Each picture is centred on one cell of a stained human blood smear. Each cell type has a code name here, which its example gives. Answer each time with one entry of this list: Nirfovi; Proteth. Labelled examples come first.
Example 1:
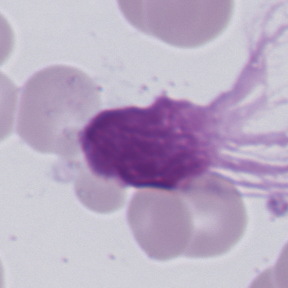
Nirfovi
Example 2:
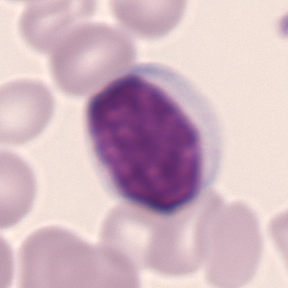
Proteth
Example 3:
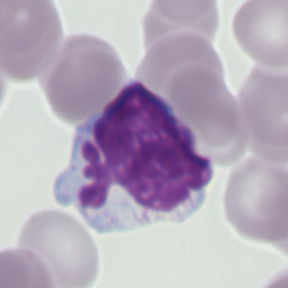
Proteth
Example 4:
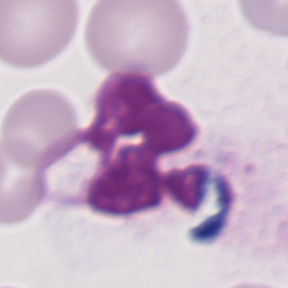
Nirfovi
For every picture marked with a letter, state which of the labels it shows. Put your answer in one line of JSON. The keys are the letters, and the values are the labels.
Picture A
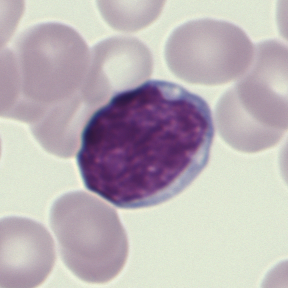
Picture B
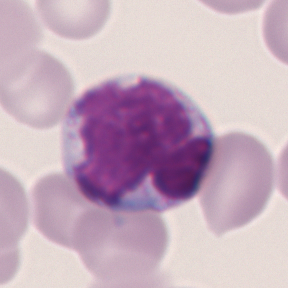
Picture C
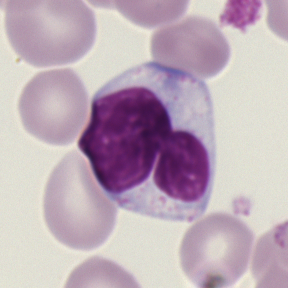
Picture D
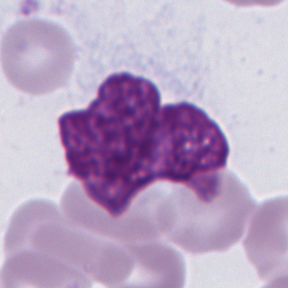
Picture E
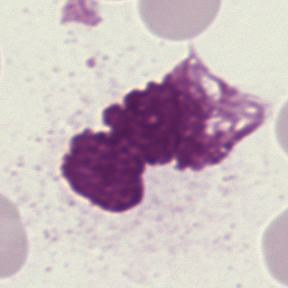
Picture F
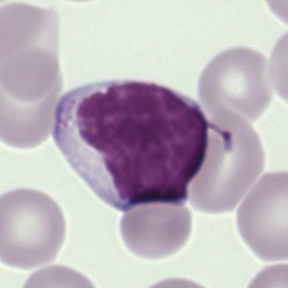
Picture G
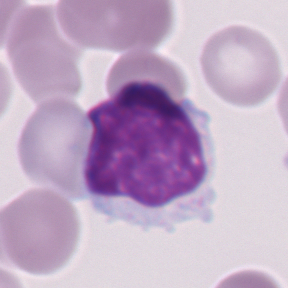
{"A": "Proteth", "B": "Proteth", "C": "Proteth", "D": "Nirfovi", "E": "Nirfovi", "F": "Proteth", "G": "Proteth"}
